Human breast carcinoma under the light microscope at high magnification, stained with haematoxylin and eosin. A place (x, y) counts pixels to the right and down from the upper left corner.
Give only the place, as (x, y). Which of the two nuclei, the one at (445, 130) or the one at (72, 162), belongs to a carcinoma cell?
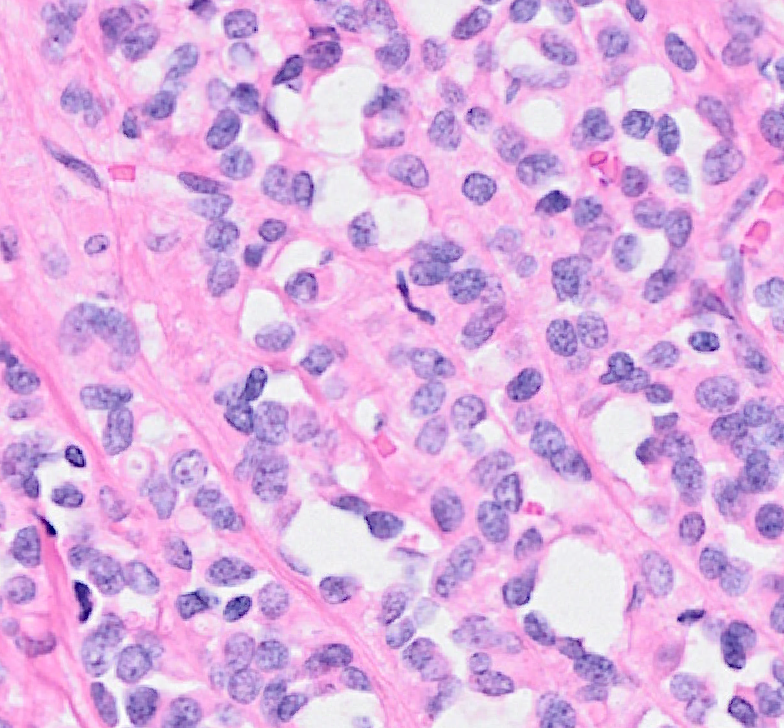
(445, 130)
